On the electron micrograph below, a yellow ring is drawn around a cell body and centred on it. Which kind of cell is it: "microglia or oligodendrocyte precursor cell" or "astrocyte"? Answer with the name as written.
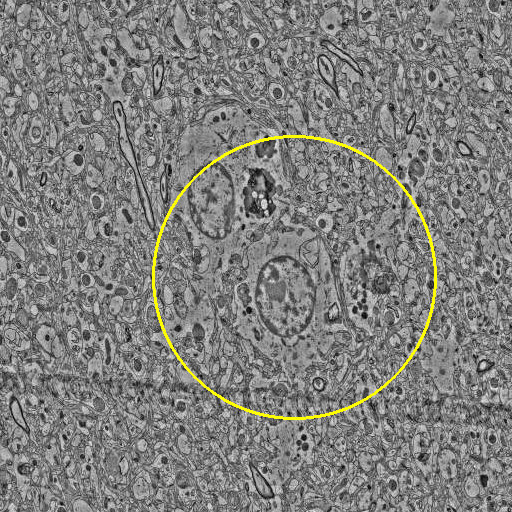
astrocyte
